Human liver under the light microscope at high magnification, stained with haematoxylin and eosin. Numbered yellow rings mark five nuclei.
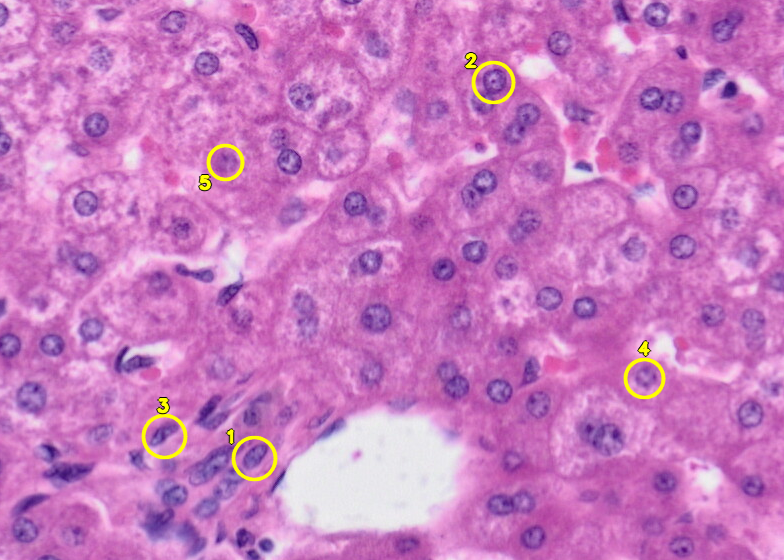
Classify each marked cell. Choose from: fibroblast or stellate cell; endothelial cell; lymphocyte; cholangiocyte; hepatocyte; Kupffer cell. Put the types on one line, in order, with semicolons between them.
cholangiocyte; hepatocyte; fibroblast or stellate cell; hepatocyte; hepatocyte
